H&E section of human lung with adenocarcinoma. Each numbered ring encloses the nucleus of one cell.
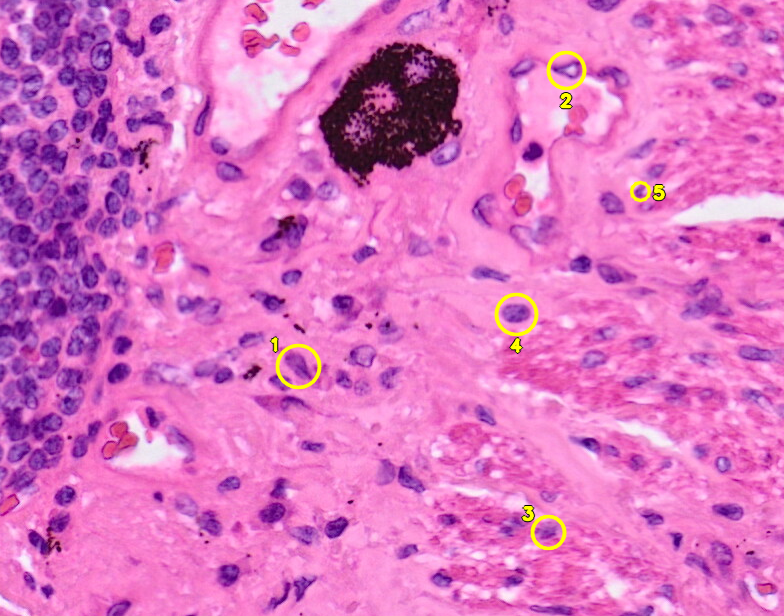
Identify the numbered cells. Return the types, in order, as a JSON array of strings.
["plasma cell", "endothelial cell", "smooth muscle cell or pericyte", "mast cell", "smooth muscle cell or pericyte"]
